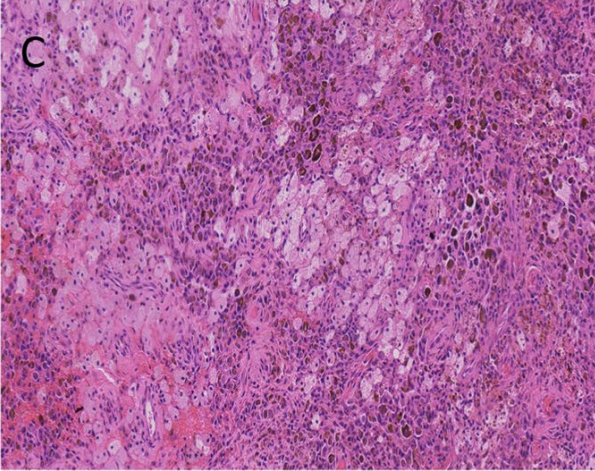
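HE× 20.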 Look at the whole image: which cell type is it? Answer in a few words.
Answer: foam cells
